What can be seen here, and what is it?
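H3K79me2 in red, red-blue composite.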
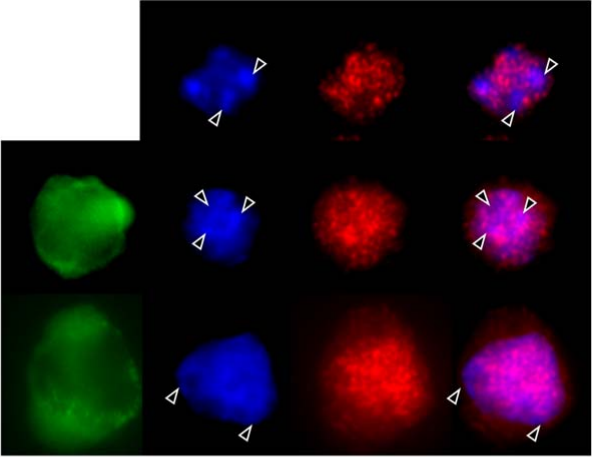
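The red signal is a fine, granular speckle spread through the nucleus without large concentrated spots. In the merge the marked blue foci remain blue rather than turning pink, as the red speckle spares them.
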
